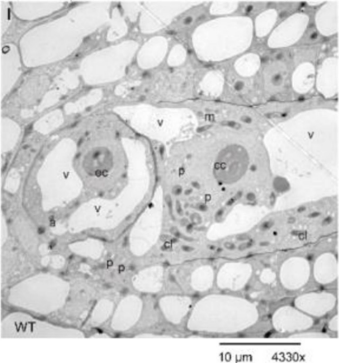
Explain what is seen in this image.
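An embryo sac lies within layers of surrounding ovule cells, showing an egg cell on the left and a central cell on the right. Both cells contain large pale vacuoles, and each has a rounded nucleus with a dark nucleolus. The surrounding cells are packed with many pale vacuoles of varying size. Small dark organelle profiles and scattered black dots lie in the thin cytoplasm between the vacuoles.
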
